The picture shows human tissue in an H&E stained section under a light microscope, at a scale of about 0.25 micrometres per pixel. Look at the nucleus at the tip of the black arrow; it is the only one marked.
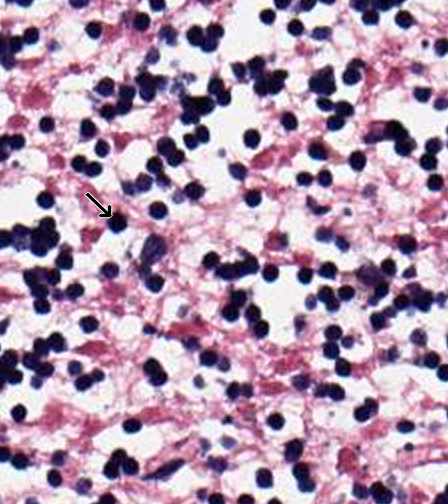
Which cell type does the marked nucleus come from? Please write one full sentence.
The marked nucleus sits within a cerebellar granule cell.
